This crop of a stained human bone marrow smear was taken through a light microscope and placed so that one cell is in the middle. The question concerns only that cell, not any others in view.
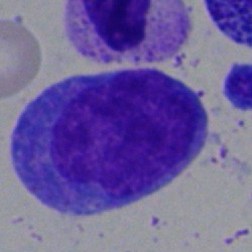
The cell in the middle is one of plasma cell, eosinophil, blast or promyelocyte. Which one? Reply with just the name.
promyelocyte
